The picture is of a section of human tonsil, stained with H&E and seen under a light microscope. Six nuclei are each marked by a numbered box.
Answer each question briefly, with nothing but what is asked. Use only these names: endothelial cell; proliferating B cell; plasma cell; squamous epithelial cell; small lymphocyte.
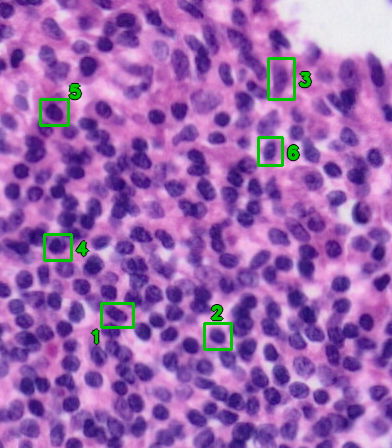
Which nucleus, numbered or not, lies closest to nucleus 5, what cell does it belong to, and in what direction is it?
a plasma cell below and to the left of nucleus 5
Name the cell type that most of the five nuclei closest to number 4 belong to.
small lymphocyte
